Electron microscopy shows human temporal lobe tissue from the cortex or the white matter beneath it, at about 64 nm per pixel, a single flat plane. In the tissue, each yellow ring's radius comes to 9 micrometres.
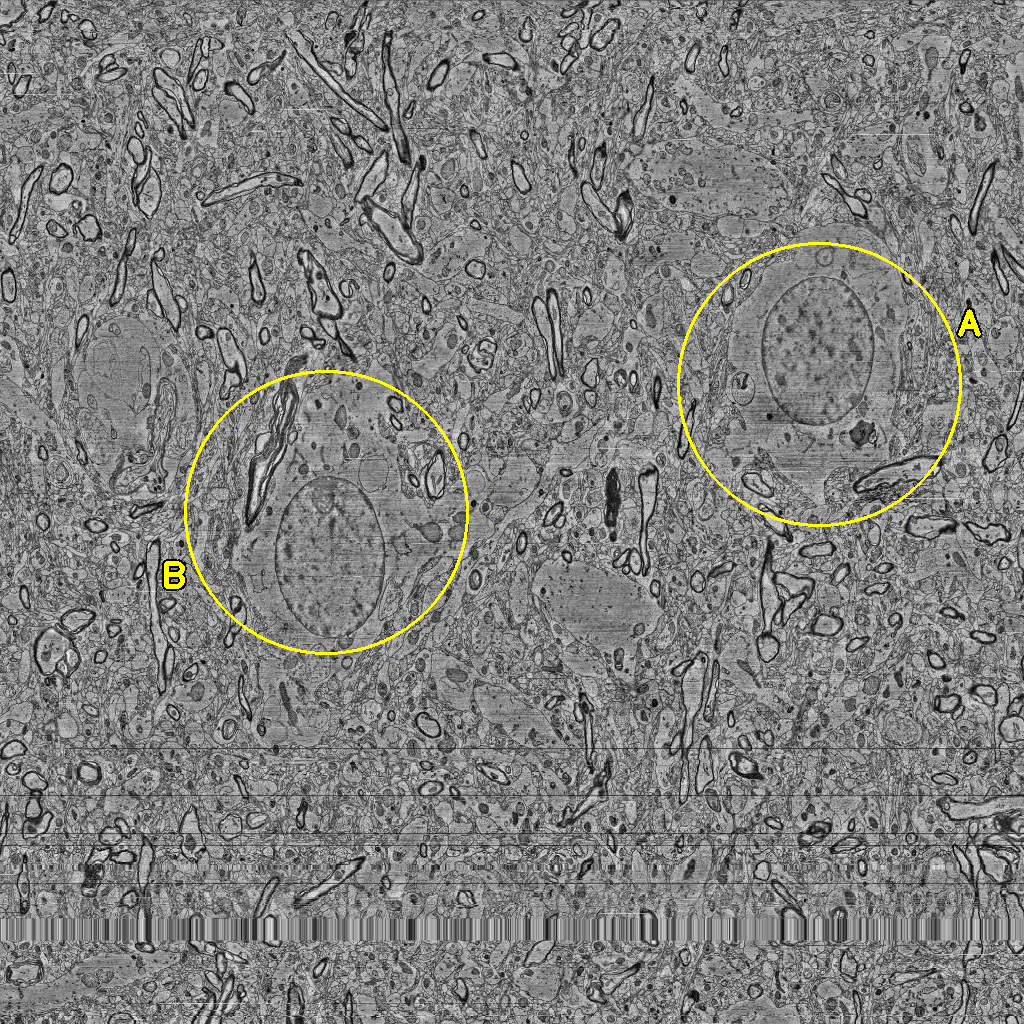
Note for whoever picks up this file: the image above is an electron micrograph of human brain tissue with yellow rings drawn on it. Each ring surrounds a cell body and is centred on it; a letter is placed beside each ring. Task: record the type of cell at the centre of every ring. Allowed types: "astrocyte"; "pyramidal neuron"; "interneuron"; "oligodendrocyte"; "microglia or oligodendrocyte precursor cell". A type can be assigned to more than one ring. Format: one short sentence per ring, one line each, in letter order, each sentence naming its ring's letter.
The ring marked A is centred on an astrocyte.
The ring marked B is centred on an astrocyte.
